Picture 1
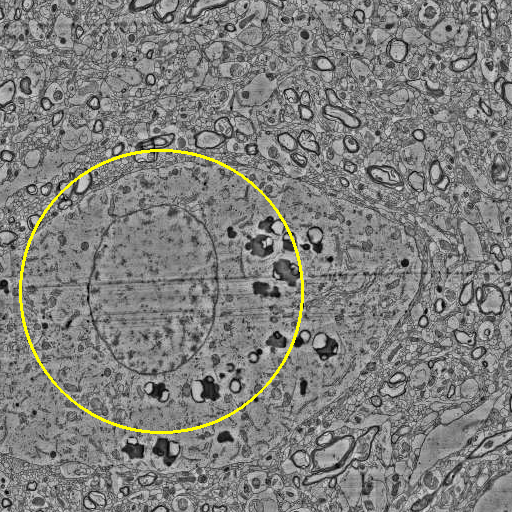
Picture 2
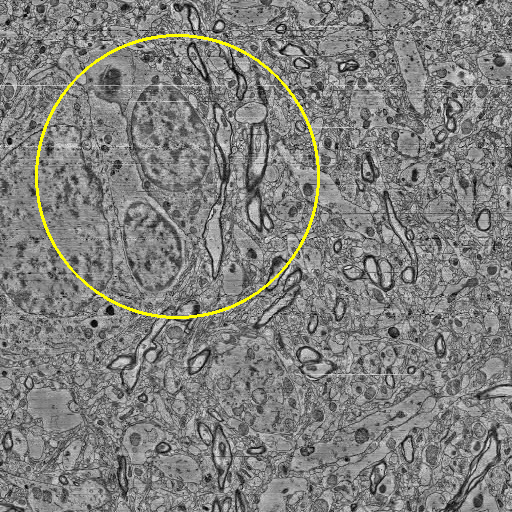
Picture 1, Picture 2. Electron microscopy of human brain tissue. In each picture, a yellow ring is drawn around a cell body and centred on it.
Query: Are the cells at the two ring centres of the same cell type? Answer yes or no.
no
